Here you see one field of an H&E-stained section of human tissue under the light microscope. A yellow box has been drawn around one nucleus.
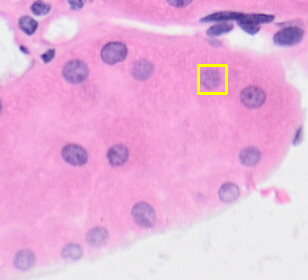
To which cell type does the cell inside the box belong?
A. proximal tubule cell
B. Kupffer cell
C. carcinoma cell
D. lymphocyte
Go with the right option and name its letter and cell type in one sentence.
Option A properly identifies the cell inside the box as a proximal tubule cell.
